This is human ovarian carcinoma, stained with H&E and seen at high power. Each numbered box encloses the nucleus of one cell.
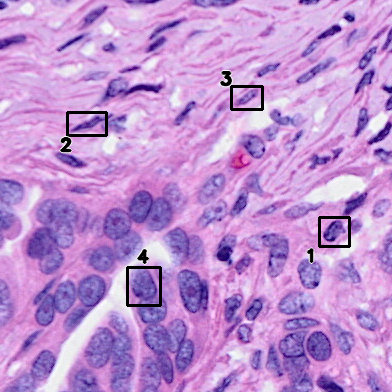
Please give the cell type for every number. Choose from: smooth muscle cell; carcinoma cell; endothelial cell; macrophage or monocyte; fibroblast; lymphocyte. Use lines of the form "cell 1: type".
cell 1: lymphocyte
cell 2: fibroblast
cell 3: fibroblast
cell 4: carcinoma cell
